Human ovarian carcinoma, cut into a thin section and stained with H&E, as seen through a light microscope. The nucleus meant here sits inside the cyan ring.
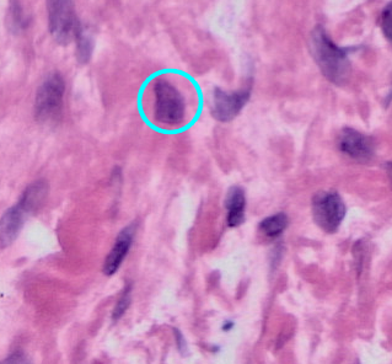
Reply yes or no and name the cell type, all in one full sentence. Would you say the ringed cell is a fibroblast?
Yes, the ringed cell is identified as a fibroblast in this section.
